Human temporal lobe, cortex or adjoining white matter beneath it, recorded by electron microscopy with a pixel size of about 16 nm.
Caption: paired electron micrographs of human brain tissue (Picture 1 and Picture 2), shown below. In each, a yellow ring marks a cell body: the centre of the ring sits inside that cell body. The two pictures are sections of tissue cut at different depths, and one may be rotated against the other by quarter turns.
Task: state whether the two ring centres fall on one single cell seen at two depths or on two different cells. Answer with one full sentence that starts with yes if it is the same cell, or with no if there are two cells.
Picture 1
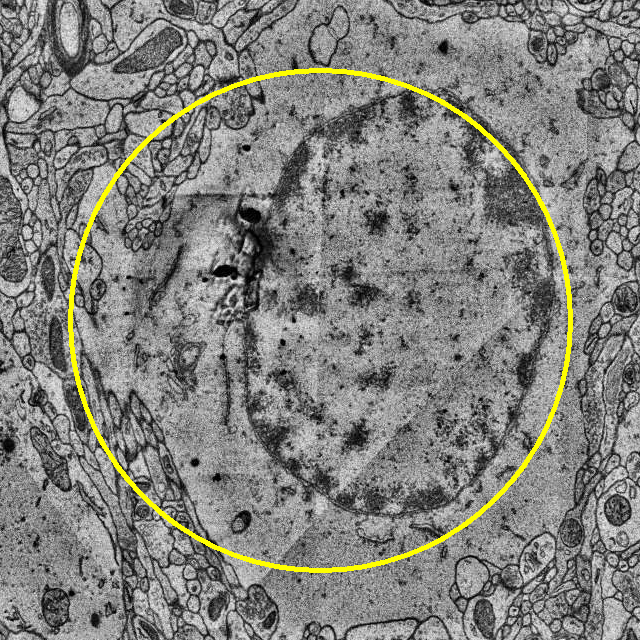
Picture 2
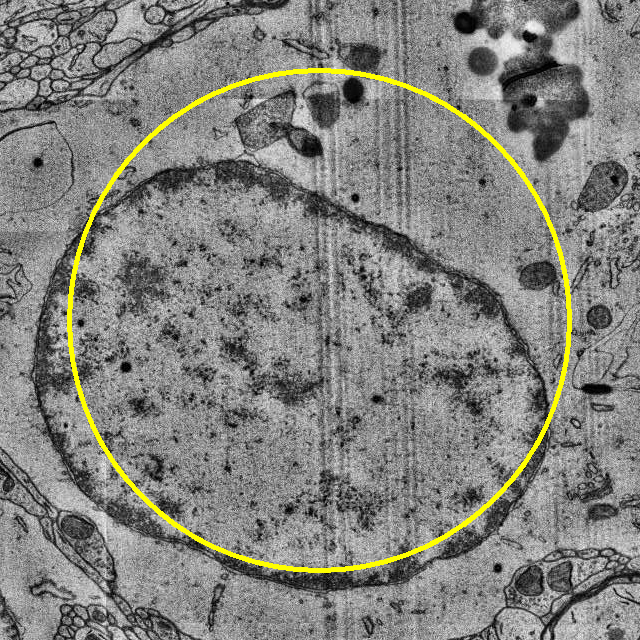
No, the rings mark separate cells, one per ring.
